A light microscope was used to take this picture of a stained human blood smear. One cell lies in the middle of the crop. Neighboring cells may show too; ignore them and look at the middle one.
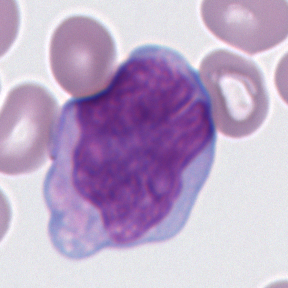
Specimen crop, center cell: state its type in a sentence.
As for the cell in the middle, it is an atypical promyelocyte.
